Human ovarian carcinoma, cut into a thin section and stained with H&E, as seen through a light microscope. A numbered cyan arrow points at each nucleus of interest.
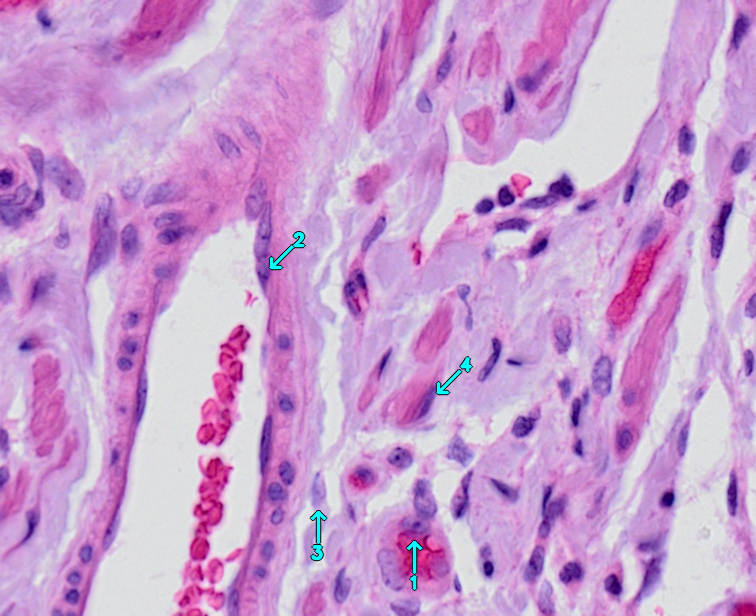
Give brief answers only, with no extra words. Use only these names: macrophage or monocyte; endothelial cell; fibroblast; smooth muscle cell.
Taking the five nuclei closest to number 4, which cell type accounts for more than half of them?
macrophage or monocyte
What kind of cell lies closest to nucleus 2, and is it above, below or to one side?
an endothelial cell, above nucleus 2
